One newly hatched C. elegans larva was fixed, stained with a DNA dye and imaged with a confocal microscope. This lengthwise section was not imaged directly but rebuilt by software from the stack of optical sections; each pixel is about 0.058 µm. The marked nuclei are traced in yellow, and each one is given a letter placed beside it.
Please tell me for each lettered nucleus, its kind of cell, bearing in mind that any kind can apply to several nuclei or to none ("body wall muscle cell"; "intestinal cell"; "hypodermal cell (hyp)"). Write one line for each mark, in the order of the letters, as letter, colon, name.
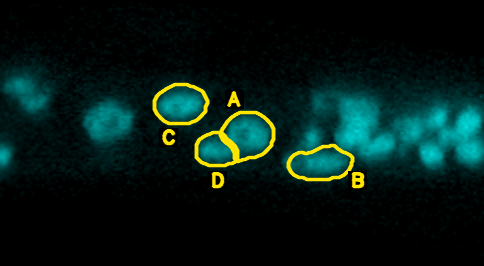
A: intestinal cell
B: hypodermal cell (hyp)
C: body wall muscle cell
D: body wall muscle cell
